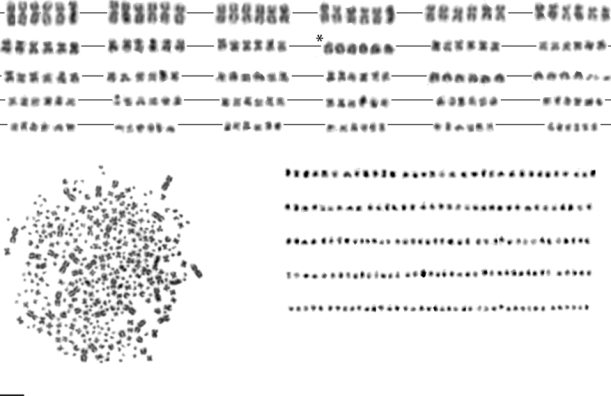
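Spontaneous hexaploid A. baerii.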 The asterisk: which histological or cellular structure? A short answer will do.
The largest acrocentric chromosomes.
